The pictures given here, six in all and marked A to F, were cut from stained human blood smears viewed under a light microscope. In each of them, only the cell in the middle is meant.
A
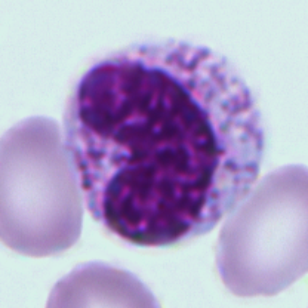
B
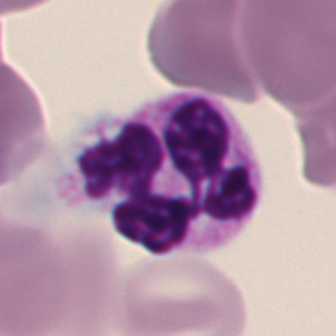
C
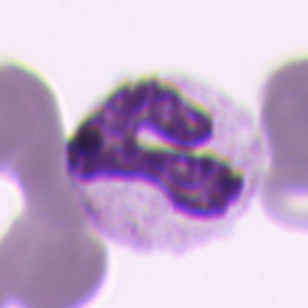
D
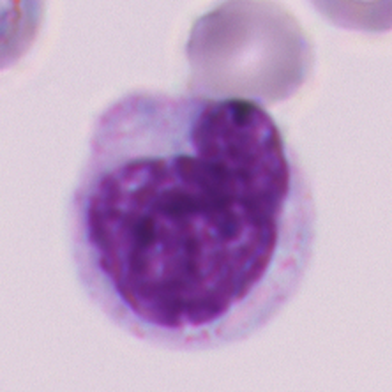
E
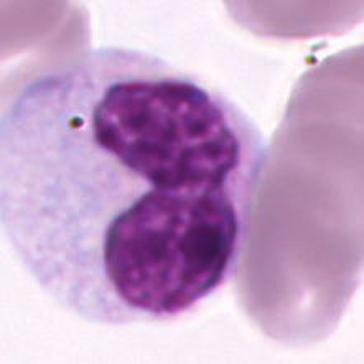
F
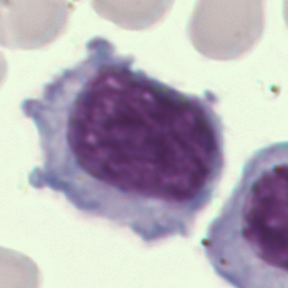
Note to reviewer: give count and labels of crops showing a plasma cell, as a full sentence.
One crop, and only one, shows a plasma cell: that is crop F.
